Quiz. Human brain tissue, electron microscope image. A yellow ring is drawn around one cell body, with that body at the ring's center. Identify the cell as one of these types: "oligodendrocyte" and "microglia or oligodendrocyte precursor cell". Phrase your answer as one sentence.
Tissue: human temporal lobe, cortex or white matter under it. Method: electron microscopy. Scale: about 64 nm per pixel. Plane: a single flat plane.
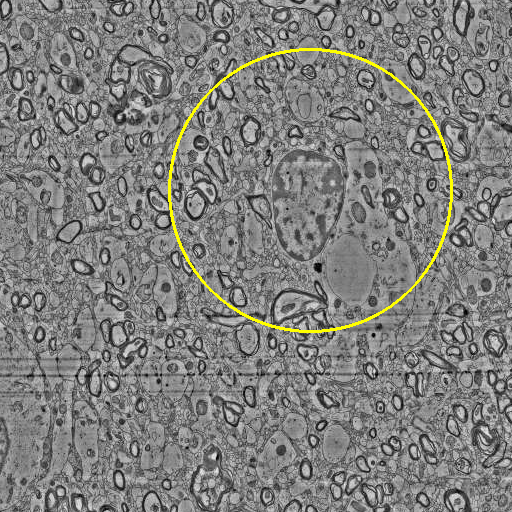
At the center of the ring sits a microglial cell or oligodendrocyte precursor cell.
